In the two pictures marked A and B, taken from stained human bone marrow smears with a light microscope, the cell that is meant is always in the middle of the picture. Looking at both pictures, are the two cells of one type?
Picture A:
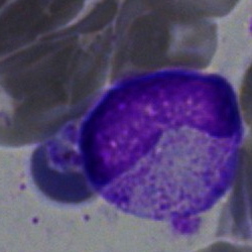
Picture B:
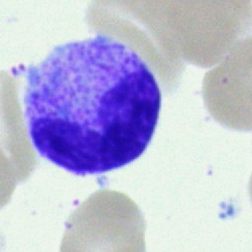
no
